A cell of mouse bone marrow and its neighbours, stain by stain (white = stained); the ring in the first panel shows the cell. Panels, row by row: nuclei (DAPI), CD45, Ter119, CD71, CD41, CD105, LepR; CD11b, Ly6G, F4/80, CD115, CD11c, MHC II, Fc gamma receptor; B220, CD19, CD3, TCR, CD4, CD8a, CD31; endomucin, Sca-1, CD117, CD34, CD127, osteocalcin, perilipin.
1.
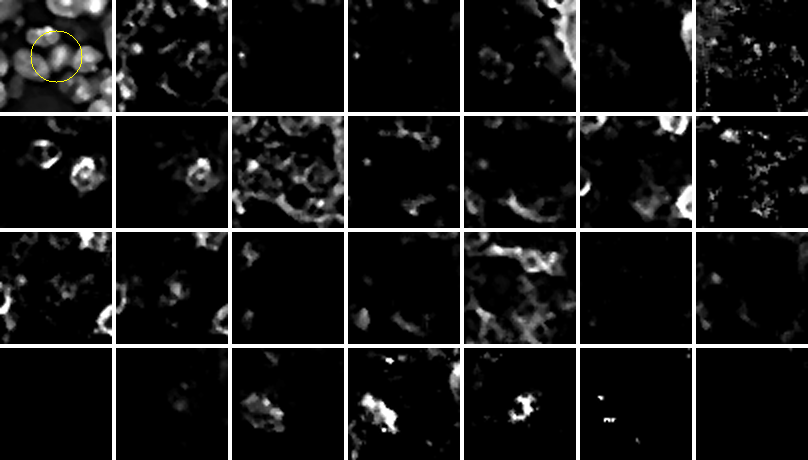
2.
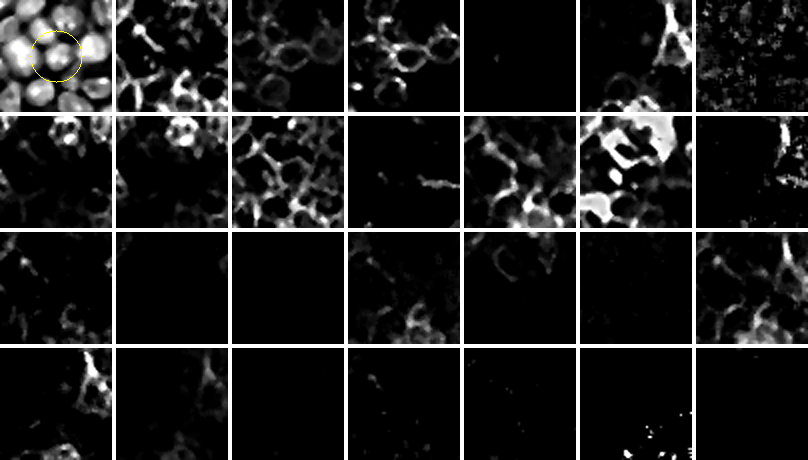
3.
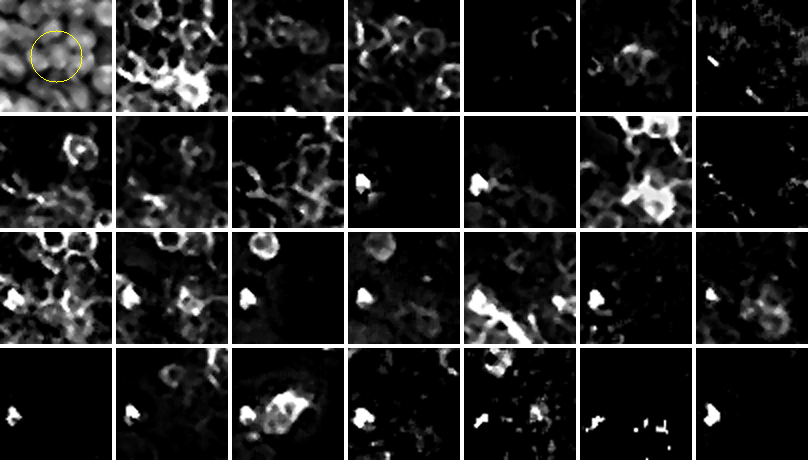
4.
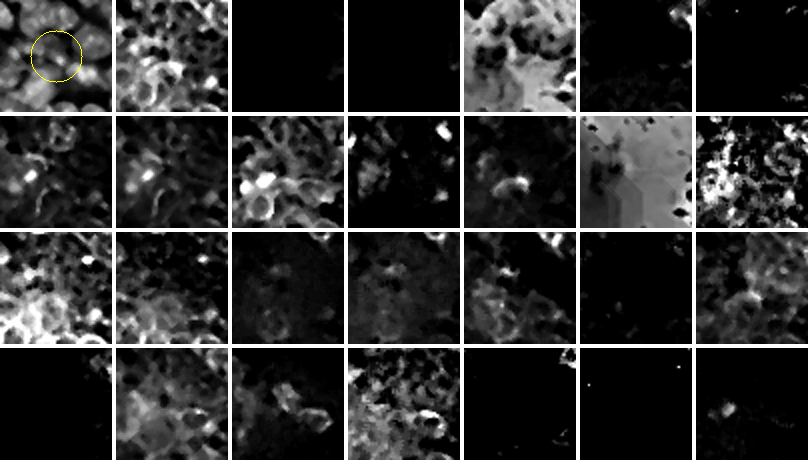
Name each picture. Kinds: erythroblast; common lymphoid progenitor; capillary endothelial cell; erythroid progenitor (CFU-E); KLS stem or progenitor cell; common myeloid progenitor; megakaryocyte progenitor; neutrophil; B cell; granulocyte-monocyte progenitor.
1: common lymphoid progenitor
2: erythroblast
3: erythroid progenitor (CFU-E)
4: megakaryocyte progenitor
